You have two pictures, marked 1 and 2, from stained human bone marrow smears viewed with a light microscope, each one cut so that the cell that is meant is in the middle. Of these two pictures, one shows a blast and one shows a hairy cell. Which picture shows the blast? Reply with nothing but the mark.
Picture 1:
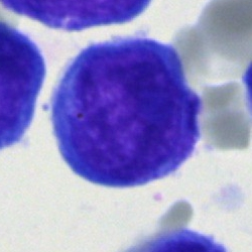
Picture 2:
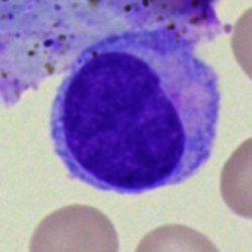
1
